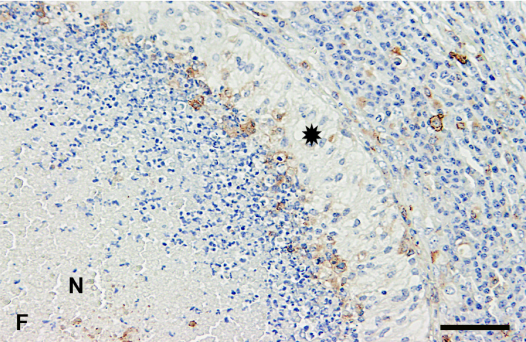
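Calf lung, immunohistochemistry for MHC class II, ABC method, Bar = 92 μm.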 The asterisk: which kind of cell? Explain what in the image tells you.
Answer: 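The asterisk lies in a band of large cells with pale abundant cytoplasm. This band curves around a pale acellular area. Most cells in the band lack brown stain.
Hence: macrophages.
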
